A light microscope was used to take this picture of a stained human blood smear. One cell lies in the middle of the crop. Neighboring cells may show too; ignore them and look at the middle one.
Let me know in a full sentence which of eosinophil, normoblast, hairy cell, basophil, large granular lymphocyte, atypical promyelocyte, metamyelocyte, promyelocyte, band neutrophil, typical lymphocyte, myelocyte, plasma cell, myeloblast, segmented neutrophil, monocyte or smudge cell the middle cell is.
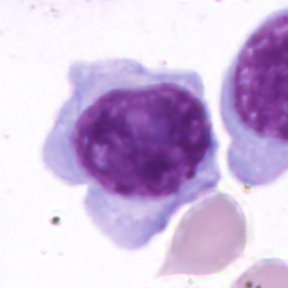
The center cell of this crop is a plasma cell.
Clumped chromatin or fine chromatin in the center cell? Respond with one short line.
The chromatin is delicate and fine, lacking coarse clumping entirely.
